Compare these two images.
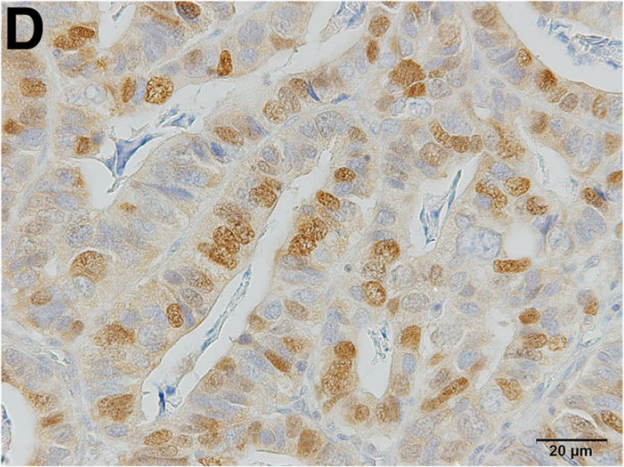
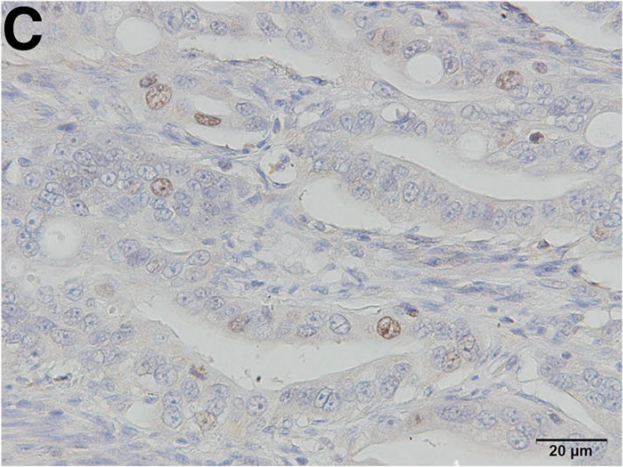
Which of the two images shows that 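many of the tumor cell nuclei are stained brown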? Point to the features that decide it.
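First image: brown-stained nuclei are numerous throughout the tumor glands. Second image: only a few scattered nuclei are brown, most are blue. The answer: the first image.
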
